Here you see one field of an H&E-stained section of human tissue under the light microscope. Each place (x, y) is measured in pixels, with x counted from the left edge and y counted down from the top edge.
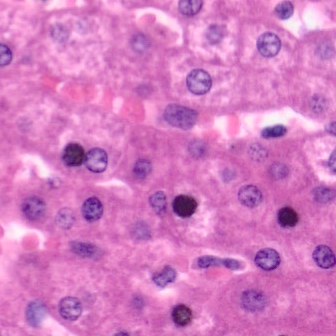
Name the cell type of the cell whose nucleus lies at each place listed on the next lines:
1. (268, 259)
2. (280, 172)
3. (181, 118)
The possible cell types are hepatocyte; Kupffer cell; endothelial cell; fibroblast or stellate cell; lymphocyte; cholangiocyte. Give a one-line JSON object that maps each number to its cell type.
{"1": "hepatocyte", "2": "hepatocyte", "3": "endothelial cell"}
